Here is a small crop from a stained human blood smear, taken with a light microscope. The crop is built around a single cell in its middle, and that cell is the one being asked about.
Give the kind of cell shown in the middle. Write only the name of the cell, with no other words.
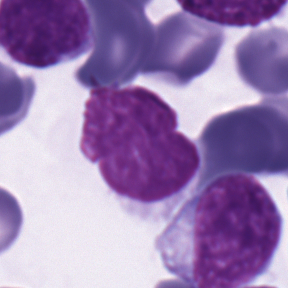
myeloblast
